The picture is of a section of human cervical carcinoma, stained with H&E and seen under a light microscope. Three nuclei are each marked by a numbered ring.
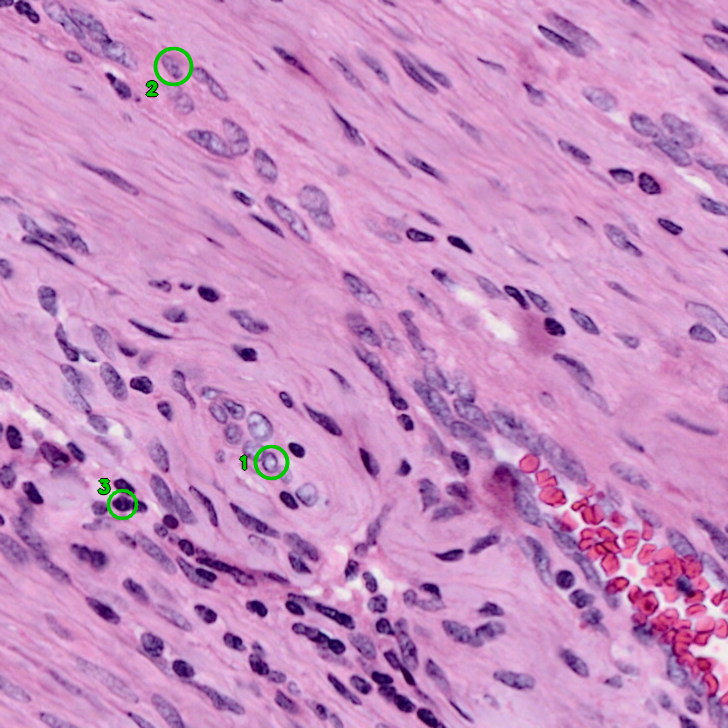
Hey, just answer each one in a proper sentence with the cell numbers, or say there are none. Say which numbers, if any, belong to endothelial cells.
Cell 1 is an endothelial cell, which is true of none of the other numbered cells.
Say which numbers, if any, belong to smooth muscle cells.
The nucleus labelled 2 alone belongs to a smooth muscle cell; the other marked nuclei do not.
